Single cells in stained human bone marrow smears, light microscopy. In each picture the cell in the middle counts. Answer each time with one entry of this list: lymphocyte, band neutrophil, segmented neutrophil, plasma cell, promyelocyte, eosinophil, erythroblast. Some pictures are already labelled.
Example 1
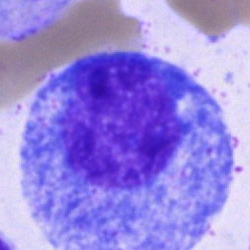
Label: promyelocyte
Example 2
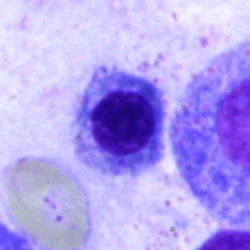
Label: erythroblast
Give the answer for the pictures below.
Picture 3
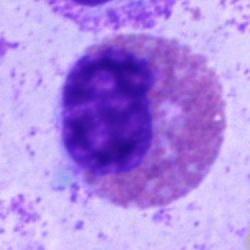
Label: eosinophil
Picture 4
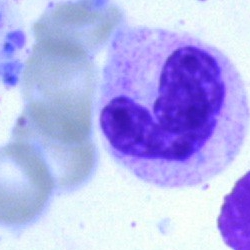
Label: band neutrophil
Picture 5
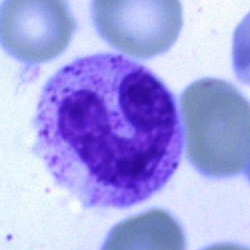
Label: band neutrophil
